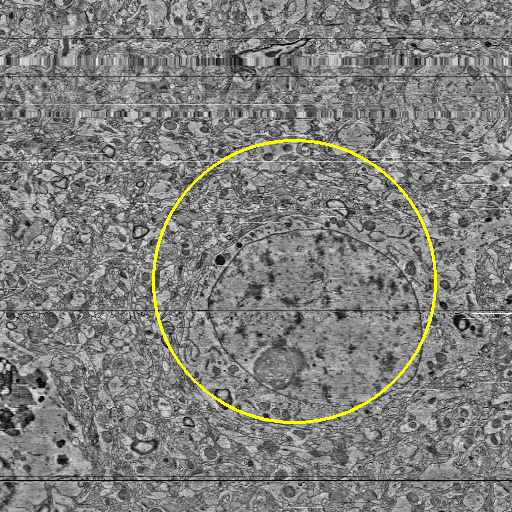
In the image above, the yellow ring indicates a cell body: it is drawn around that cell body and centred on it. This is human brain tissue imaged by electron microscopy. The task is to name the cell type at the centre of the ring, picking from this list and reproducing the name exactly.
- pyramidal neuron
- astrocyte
pyramidal neuron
